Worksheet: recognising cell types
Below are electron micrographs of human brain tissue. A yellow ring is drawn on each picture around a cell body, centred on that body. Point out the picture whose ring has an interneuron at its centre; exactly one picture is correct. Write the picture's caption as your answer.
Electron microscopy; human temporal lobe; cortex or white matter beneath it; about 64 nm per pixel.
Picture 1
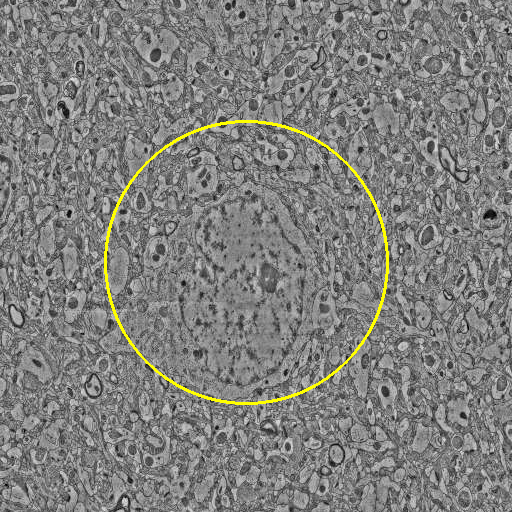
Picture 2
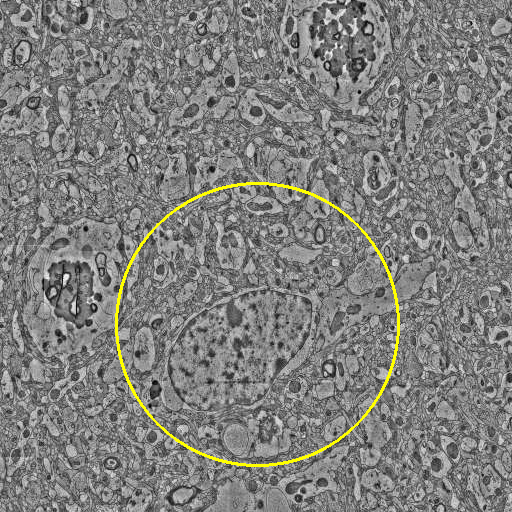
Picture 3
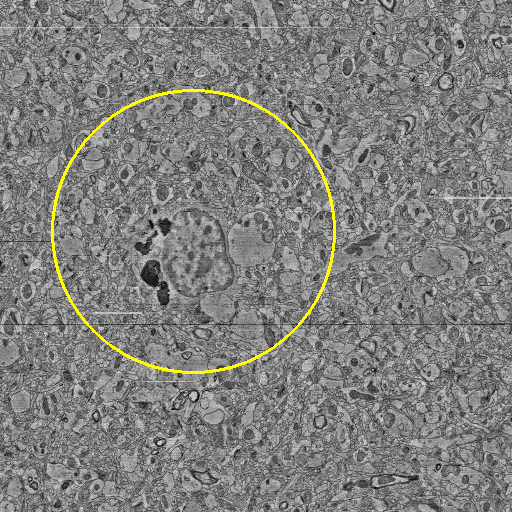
Picture 1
